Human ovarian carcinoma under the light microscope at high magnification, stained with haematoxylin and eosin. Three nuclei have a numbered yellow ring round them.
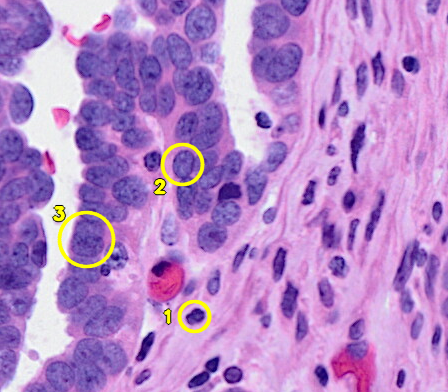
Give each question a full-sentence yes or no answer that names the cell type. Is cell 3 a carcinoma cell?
Yes, the cell to which number 3 refers is a carcinoma cell.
